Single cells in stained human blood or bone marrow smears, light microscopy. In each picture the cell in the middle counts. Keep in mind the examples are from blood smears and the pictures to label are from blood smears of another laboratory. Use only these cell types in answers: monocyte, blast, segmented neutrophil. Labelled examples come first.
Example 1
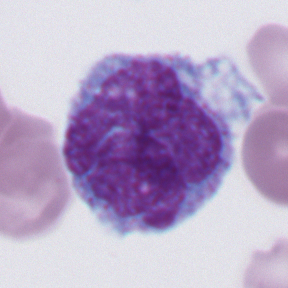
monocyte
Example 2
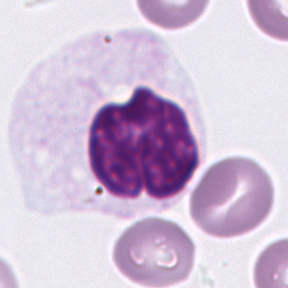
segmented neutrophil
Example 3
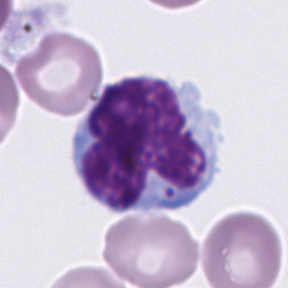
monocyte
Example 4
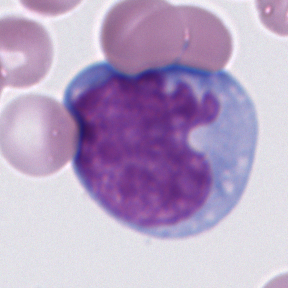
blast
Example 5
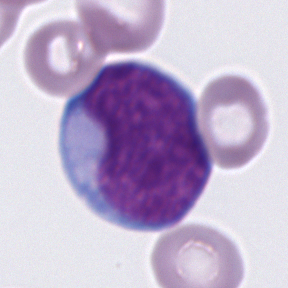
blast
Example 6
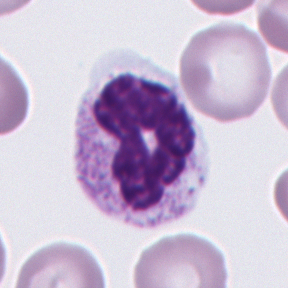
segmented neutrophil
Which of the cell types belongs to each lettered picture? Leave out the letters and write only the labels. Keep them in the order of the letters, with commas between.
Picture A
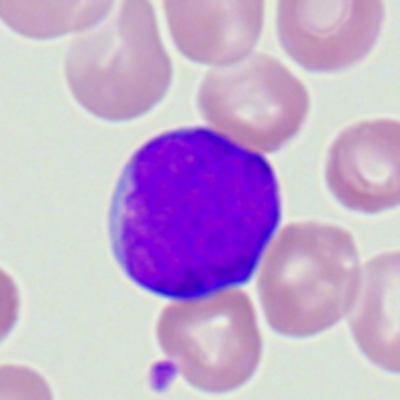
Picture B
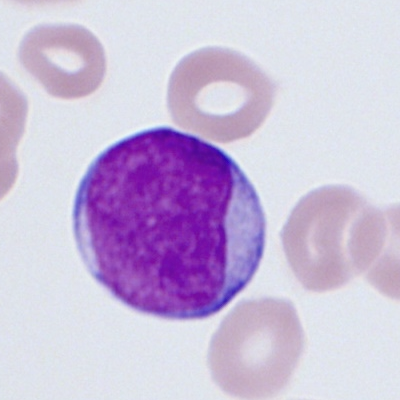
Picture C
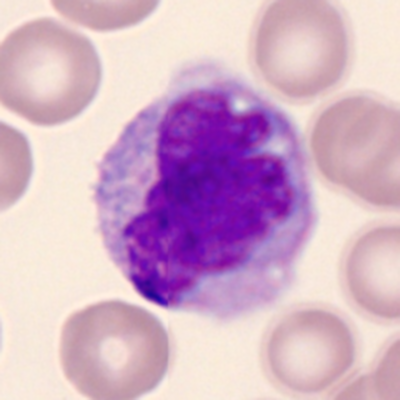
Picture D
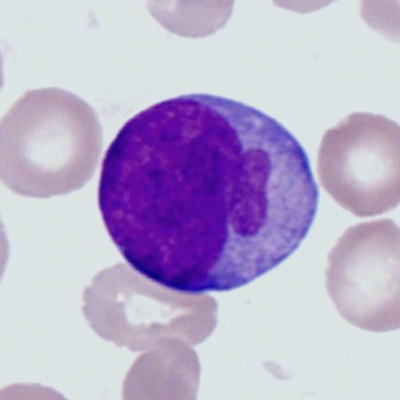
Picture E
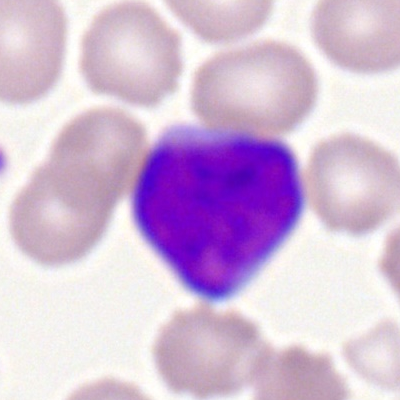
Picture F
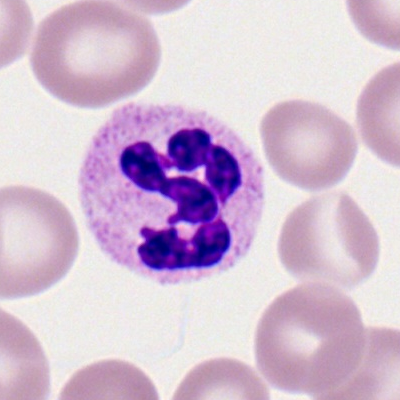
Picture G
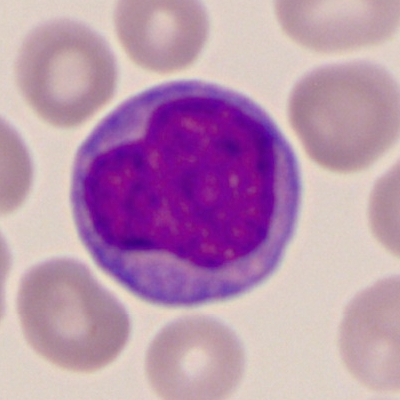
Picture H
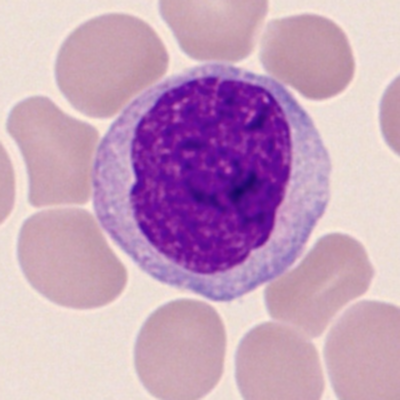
blast, blast, monocyte, blast, blast, segmented neutrophil, blast, monocyte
